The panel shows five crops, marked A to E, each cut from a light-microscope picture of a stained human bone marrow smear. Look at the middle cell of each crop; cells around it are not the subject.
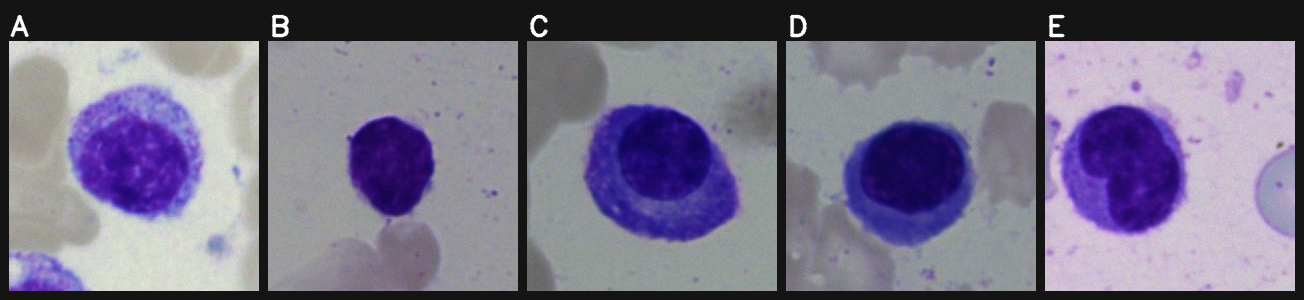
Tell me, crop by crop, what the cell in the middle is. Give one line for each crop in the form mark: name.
A: myelocyte
B: lymphocyte
C: plasma cell
D: plasma cell
E: monocyte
